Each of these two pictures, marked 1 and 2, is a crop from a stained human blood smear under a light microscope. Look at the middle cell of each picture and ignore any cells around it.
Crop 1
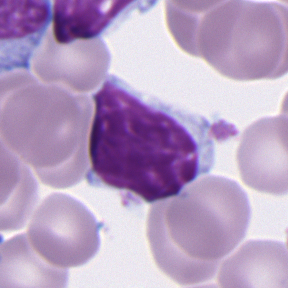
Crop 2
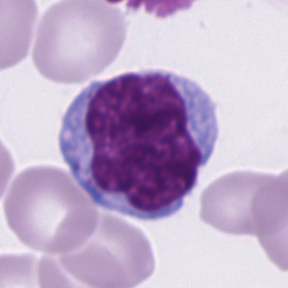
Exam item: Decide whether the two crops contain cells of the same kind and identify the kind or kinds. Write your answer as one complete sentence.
Yes, the reply for both crops is typical lymphocytes.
